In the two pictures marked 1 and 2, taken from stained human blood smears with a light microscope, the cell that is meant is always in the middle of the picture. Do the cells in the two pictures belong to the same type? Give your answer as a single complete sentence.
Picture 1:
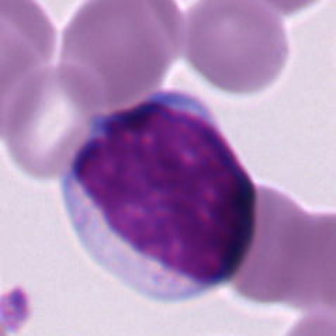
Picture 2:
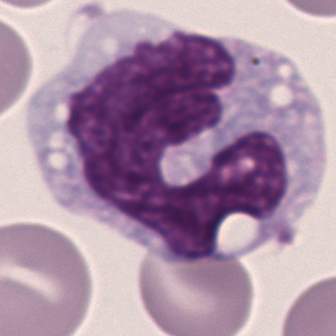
No; the cell in picture 1 is a large granular lymphocyte, while the one in picture 2 is a monocyte.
